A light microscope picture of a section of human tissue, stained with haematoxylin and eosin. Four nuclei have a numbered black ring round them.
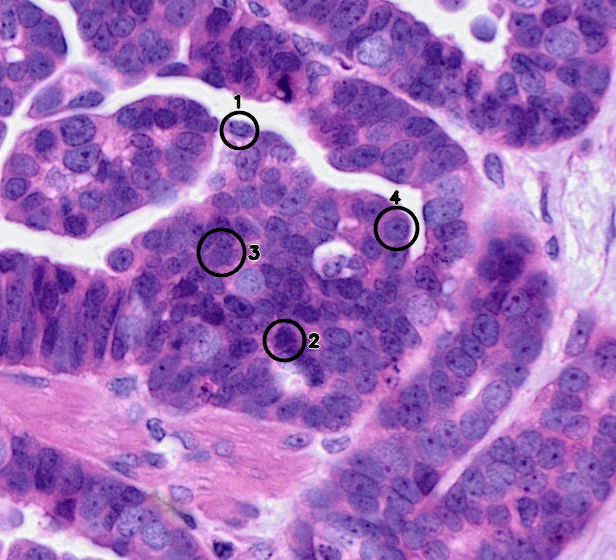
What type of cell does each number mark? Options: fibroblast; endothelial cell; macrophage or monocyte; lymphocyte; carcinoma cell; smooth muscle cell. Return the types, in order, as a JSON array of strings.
["macrophage or monocyte", "carcinoma cell", "carcinoma cell", "carcinoma cell"]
